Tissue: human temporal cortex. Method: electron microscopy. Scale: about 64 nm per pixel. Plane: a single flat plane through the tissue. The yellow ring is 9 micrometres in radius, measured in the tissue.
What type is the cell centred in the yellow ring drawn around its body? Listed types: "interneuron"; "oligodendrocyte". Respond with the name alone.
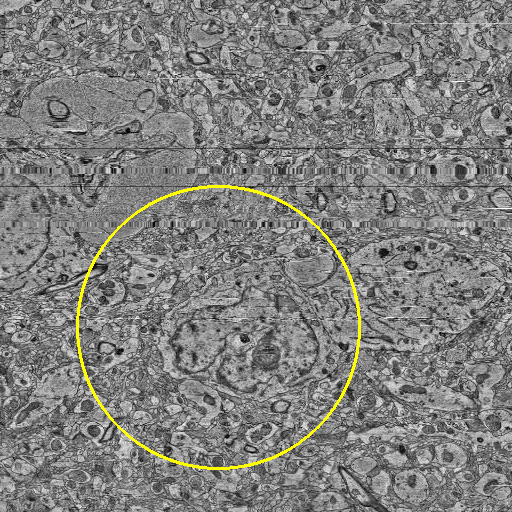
interneuron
